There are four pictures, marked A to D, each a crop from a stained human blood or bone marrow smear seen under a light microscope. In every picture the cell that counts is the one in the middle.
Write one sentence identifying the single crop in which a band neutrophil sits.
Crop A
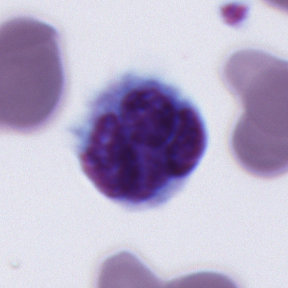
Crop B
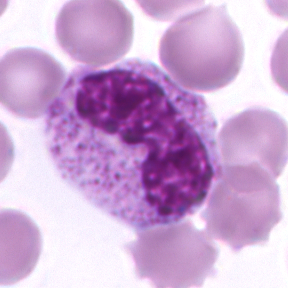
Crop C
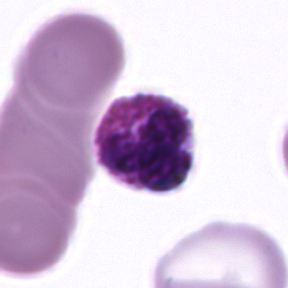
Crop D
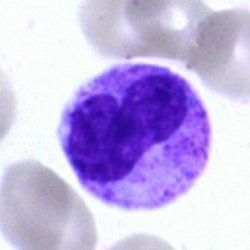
Crop B is the crop that shows a band neutrophil in its middle.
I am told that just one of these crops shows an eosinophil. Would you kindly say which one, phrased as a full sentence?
Among these crops, crop C holds an eosinophil.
